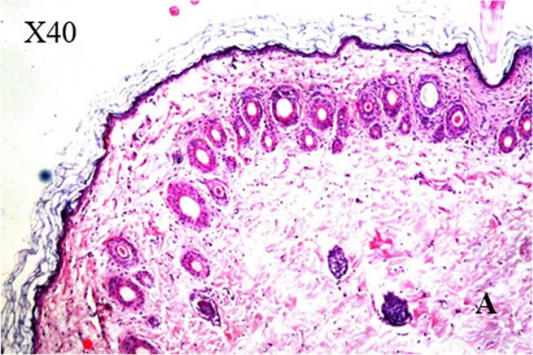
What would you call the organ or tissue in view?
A: Skin.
